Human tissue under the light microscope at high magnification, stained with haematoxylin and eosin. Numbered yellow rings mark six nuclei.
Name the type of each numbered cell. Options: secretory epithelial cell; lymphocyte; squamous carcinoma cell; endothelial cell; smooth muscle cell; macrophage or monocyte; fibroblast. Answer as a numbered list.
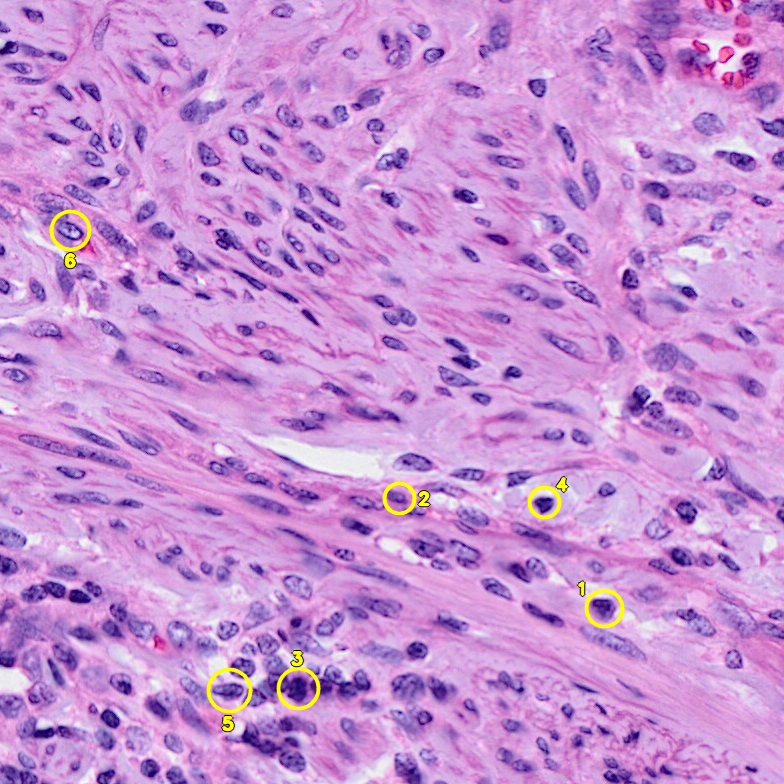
1. lymphocyte
2. endothelial cell
3. lymphocyte
4. lymphocyte
5. lymphocyte
6. endothelial cell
